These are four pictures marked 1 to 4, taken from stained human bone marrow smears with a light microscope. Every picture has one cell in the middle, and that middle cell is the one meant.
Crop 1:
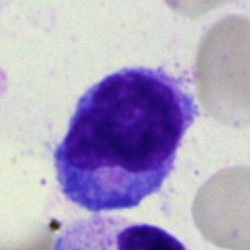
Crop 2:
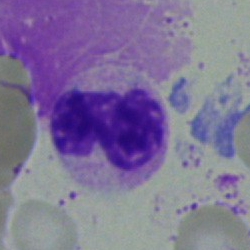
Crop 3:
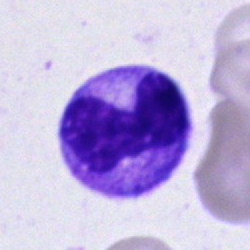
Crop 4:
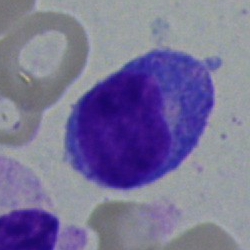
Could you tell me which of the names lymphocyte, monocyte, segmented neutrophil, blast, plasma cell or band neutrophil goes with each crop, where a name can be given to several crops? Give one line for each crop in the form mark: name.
1: monocyte
2: segmented neutrophil
3: band neutrophil
4: blast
